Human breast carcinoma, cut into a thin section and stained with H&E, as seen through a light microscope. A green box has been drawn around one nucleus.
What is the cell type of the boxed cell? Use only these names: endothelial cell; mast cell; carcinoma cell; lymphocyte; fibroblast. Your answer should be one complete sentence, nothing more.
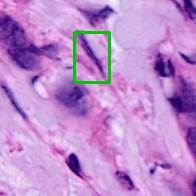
At the level of cell identity, the boxed cell is a fibroblast.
